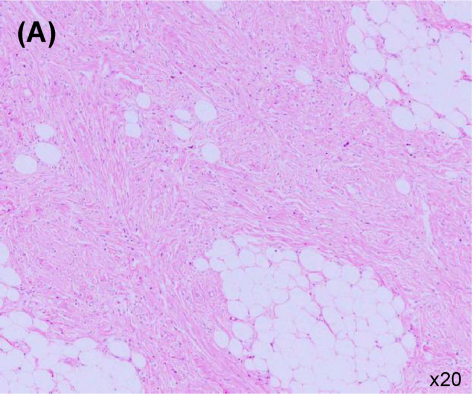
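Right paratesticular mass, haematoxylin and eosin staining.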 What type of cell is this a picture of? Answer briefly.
Large adipocytes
